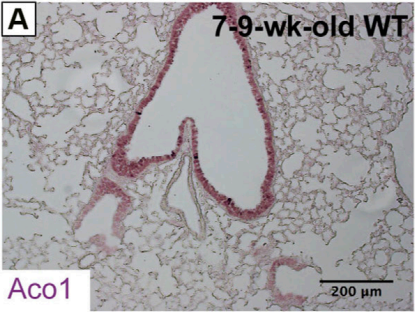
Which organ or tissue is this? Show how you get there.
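Fine lacework of thin-walled air spaces fills the background. A large branching airway lined by a continuous epithelium lies in the middle. A thin-walled vessel runs beside the airway. So: lung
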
